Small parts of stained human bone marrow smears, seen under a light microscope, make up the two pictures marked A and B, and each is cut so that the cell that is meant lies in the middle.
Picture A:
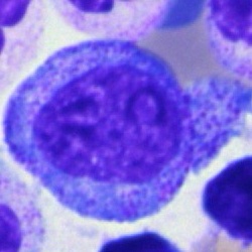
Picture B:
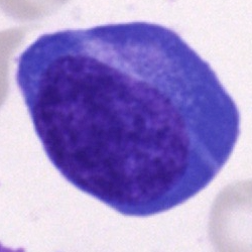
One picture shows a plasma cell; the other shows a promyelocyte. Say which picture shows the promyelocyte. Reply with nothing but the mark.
A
